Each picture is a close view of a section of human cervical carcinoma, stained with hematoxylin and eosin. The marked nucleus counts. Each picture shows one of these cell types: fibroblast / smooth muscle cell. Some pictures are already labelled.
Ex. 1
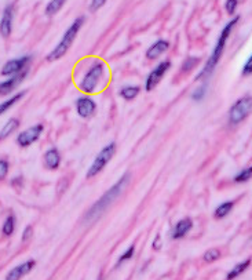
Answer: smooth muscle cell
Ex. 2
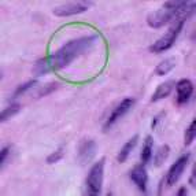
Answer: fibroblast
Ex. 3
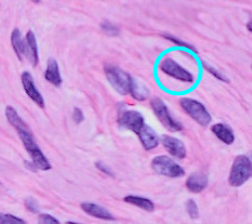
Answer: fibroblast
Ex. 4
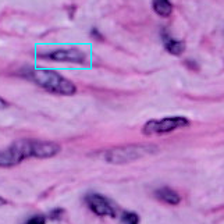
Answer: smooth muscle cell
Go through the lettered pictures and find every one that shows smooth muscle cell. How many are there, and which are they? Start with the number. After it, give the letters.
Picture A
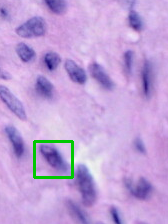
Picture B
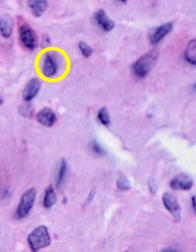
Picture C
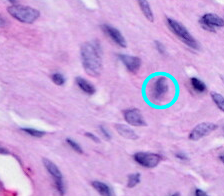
0, none of them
